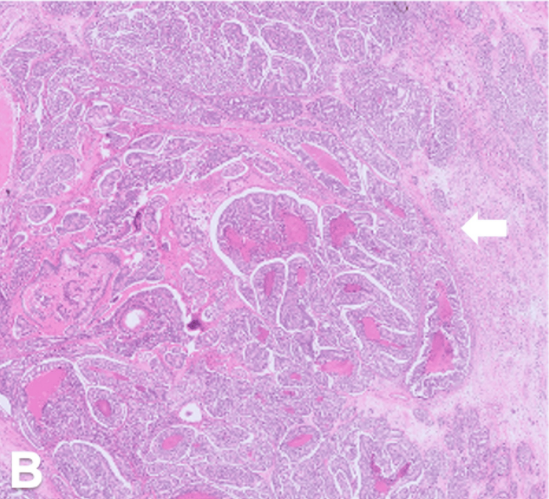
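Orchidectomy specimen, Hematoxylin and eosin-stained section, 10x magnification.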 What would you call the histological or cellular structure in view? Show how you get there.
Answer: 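Cribriform and fused glandular patterns. Some lumina hold pink secretion.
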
